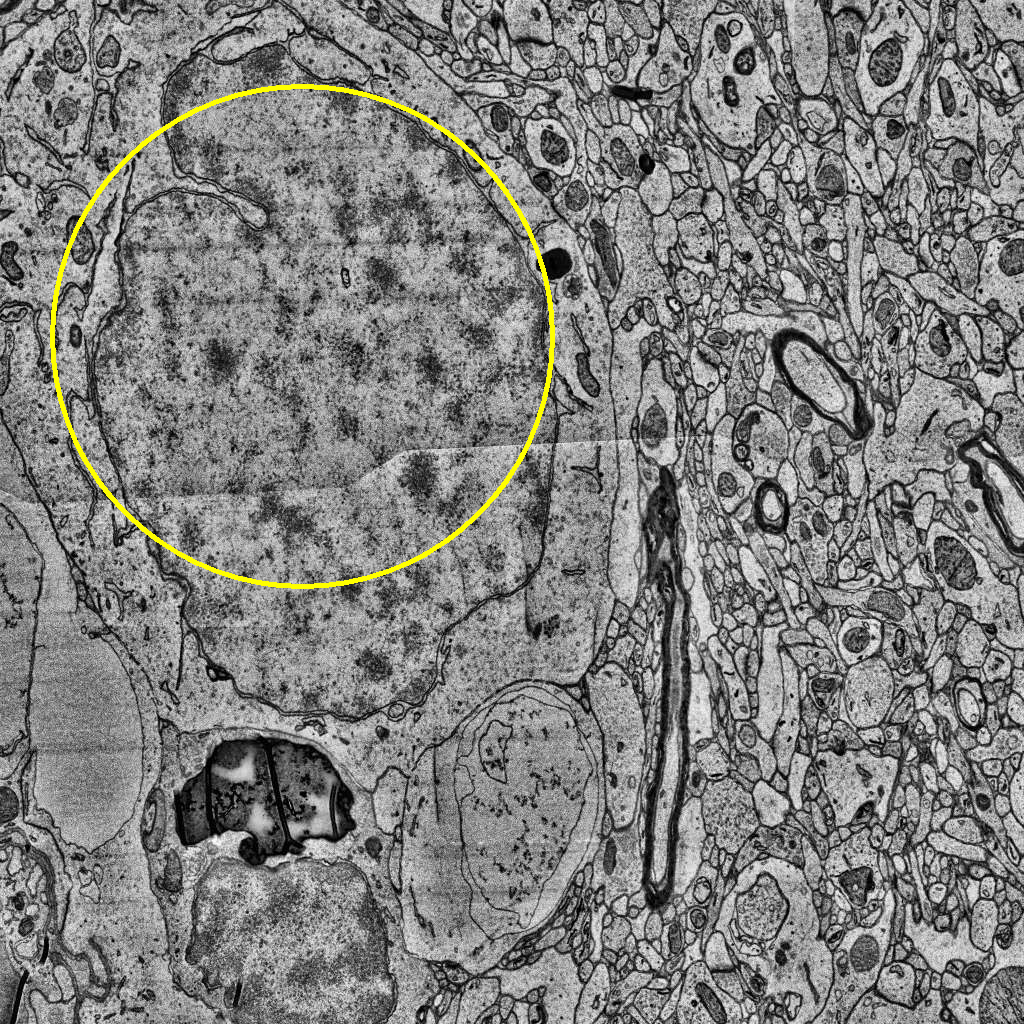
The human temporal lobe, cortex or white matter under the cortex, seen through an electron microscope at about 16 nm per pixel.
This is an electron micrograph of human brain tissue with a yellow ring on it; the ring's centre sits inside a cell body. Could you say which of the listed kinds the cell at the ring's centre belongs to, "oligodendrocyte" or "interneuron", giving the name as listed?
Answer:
interneuron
